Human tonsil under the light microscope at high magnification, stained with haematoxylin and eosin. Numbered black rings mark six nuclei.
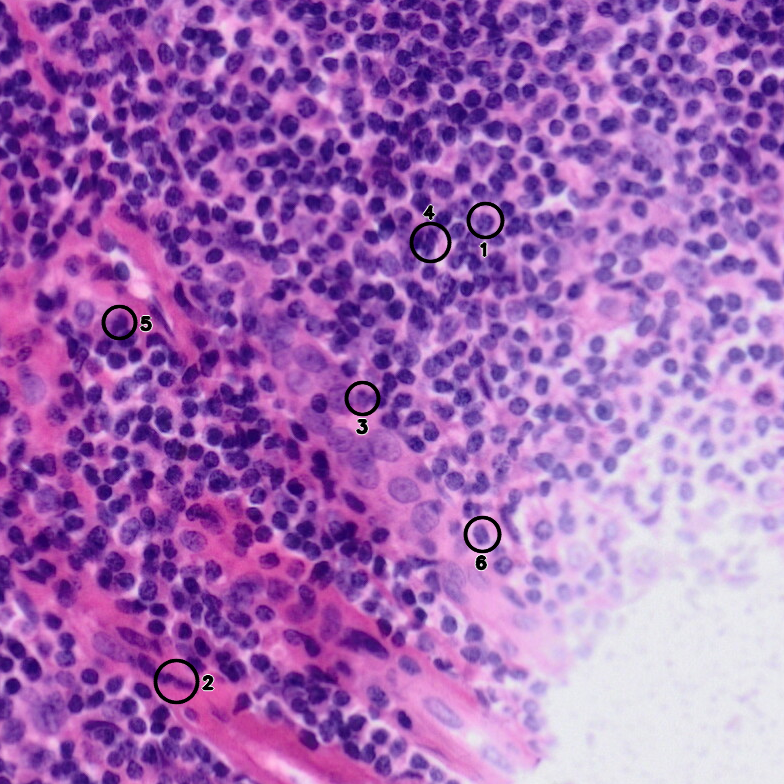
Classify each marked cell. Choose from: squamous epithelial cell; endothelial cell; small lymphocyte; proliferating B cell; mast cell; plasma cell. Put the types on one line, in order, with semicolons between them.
small lymphocyte; endothelial cell; endothelial cell; small lymphocyte; endothelial cell; small lymphocyte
